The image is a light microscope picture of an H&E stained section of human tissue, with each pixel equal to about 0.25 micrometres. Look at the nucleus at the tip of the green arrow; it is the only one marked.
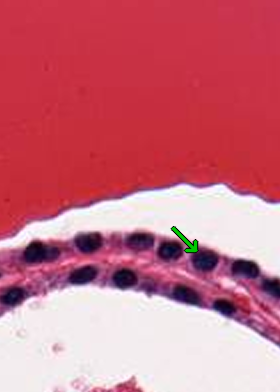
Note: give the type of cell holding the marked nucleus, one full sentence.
Marked in this picture is the nucleus of a thyroid follicular cell.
